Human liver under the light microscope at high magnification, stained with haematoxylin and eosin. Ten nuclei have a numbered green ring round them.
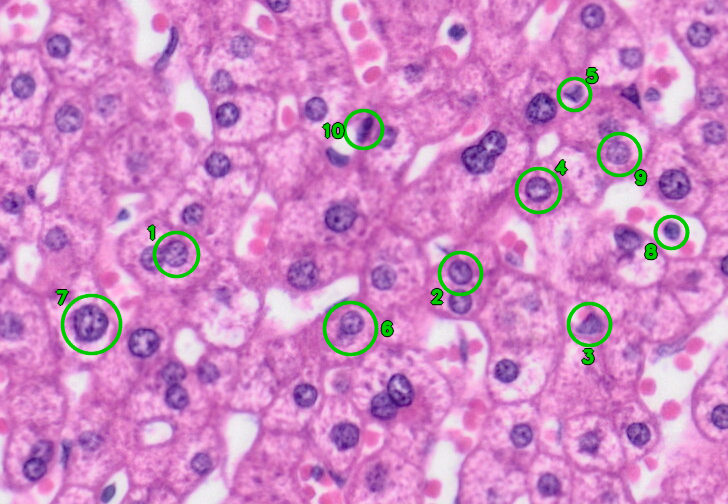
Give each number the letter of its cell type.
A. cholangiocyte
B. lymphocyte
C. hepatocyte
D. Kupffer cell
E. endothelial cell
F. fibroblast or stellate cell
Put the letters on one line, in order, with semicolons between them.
C; C; E; C; E; C; C; B; C; F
